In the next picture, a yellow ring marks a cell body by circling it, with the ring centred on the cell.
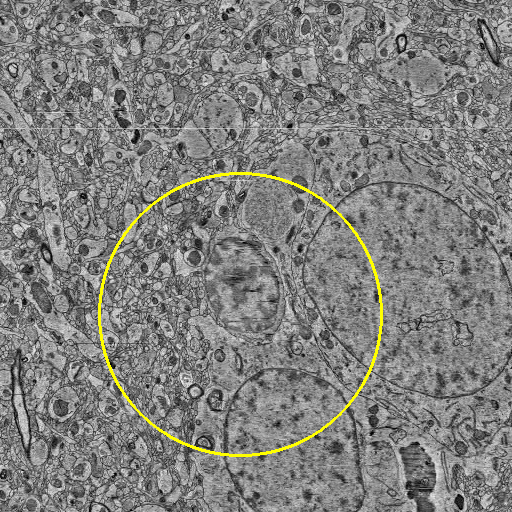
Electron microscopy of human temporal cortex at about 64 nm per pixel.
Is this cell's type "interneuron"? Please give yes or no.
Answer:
no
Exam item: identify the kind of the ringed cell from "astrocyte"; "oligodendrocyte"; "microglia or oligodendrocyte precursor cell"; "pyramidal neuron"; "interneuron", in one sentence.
Instead, the ringed cell here is an oligodendrocyte.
